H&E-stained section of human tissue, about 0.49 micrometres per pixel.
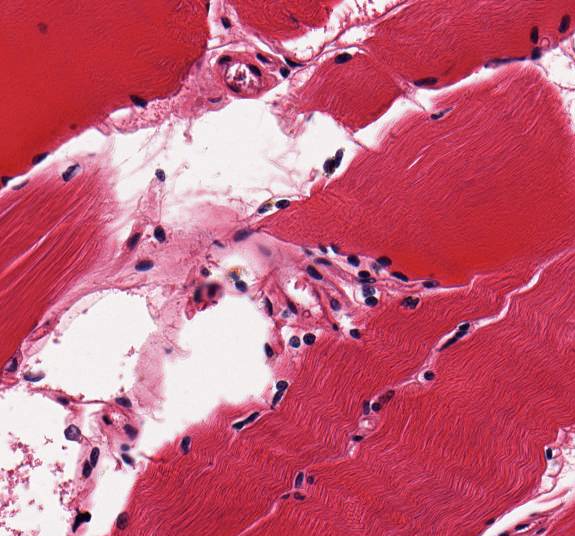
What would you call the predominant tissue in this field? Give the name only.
skeletal muscle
